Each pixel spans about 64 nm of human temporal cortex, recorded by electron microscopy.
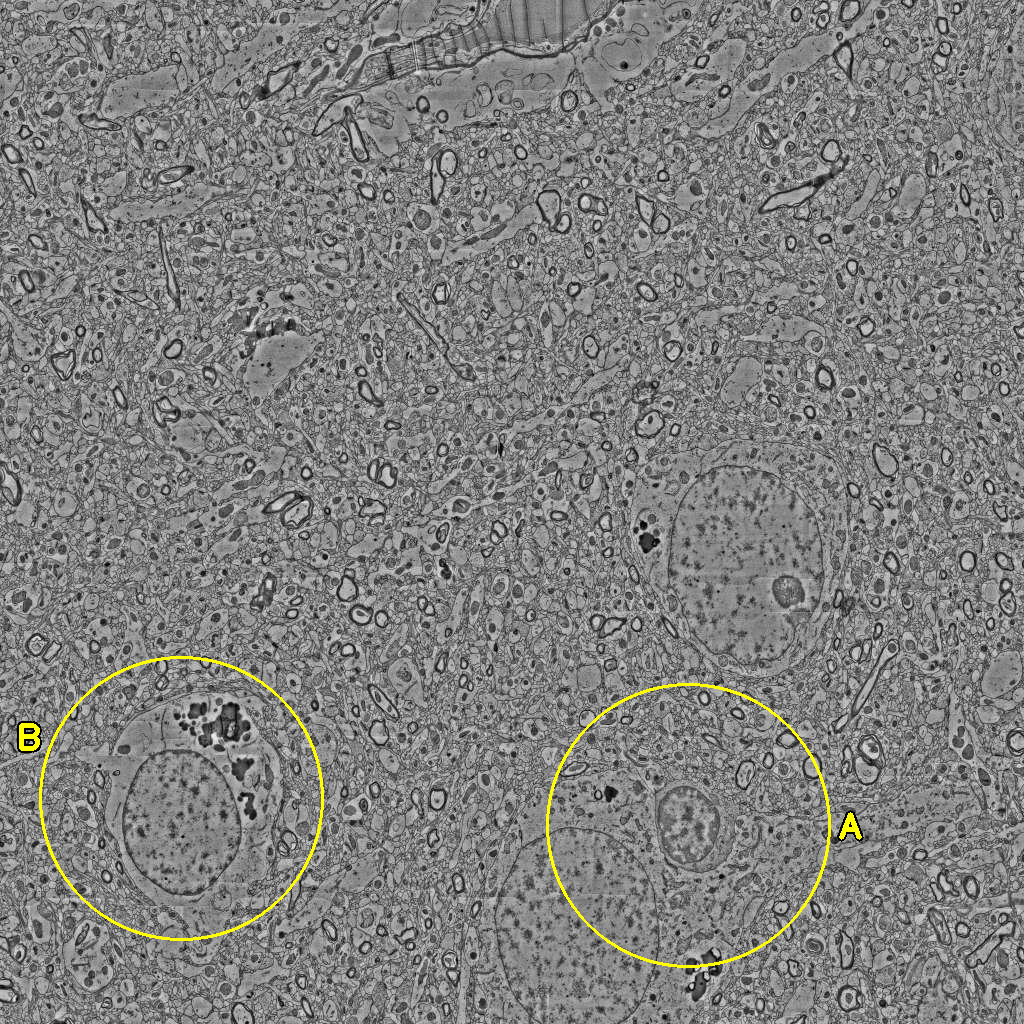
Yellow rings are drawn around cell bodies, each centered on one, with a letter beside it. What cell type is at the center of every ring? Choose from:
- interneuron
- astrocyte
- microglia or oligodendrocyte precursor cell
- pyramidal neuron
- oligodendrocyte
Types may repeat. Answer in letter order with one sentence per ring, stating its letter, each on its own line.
The cell at the center of ring A is an oligodendrocyte.
The cell at the center of ring B is an astrocyte.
